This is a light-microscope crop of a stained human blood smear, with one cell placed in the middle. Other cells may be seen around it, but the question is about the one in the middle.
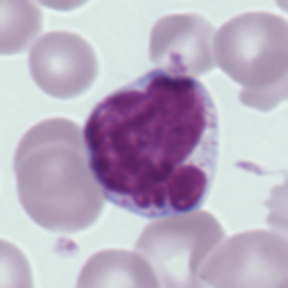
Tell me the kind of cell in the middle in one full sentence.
Present in the middle of the crop is a large granular lymphocyte.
